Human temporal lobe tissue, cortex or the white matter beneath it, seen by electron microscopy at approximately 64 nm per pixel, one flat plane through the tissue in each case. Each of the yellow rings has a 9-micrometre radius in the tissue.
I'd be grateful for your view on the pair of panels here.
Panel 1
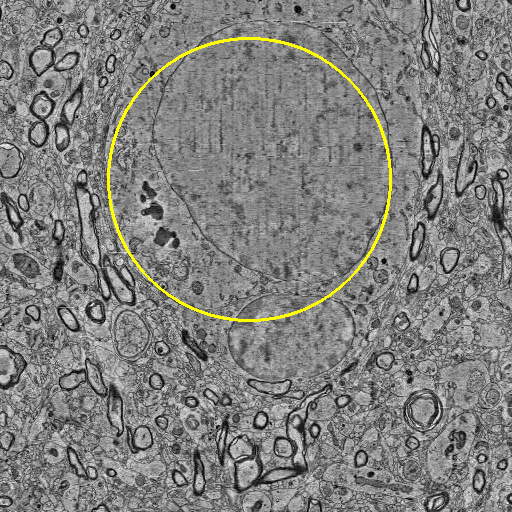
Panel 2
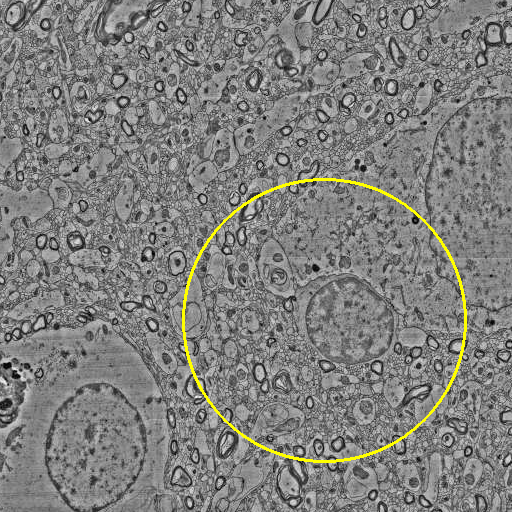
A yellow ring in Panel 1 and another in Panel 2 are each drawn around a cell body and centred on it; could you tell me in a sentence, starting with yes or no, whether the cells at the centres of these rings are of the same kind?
No, they are two kinds of cell.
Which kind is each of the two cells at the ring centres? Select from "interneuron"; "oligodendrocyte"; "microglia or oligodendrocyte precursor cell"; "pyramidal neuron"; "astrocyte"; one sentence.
The cell at the centre of the ring is a pyramidal neuron in the first picture and an oligodendrocyte in the second.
